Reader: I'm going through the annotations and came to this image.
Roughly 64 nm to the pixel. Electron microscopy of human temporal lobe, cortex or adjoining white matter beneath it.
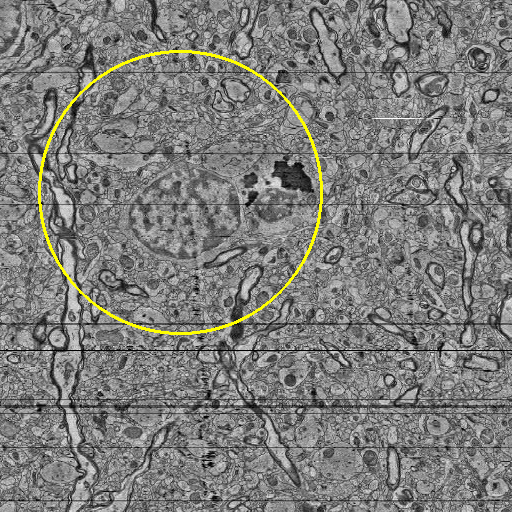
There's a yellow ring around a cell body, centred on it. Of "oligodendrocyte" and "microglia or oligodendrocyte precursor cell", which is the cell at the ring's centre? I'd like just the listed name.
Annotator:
oligodendrocyte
